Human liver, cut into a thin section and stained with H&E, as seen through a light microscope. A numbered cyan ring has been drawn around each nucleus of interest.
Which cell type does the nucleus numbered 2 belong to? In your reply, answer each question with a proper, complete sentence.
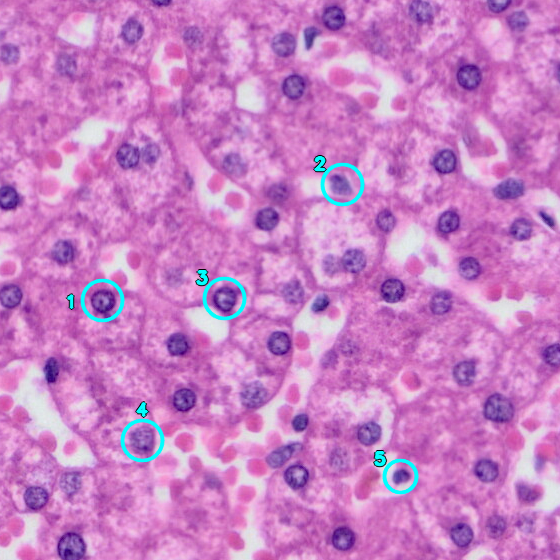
Heads up, the cell numbered 2 is an endothelial cell.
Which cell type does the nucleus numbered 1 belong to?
Regarding cell 1, this one is a hepatocyte.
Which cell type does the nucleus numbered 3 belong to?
The cell pointed out as number 3 is a hepatocyte.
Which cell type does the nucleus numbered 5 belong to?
Within this field of view, the cell labelled 5 is a lymphocyte.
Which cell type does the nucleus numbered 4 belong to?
The nucleus with number 4 is that of a hepatocyte.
